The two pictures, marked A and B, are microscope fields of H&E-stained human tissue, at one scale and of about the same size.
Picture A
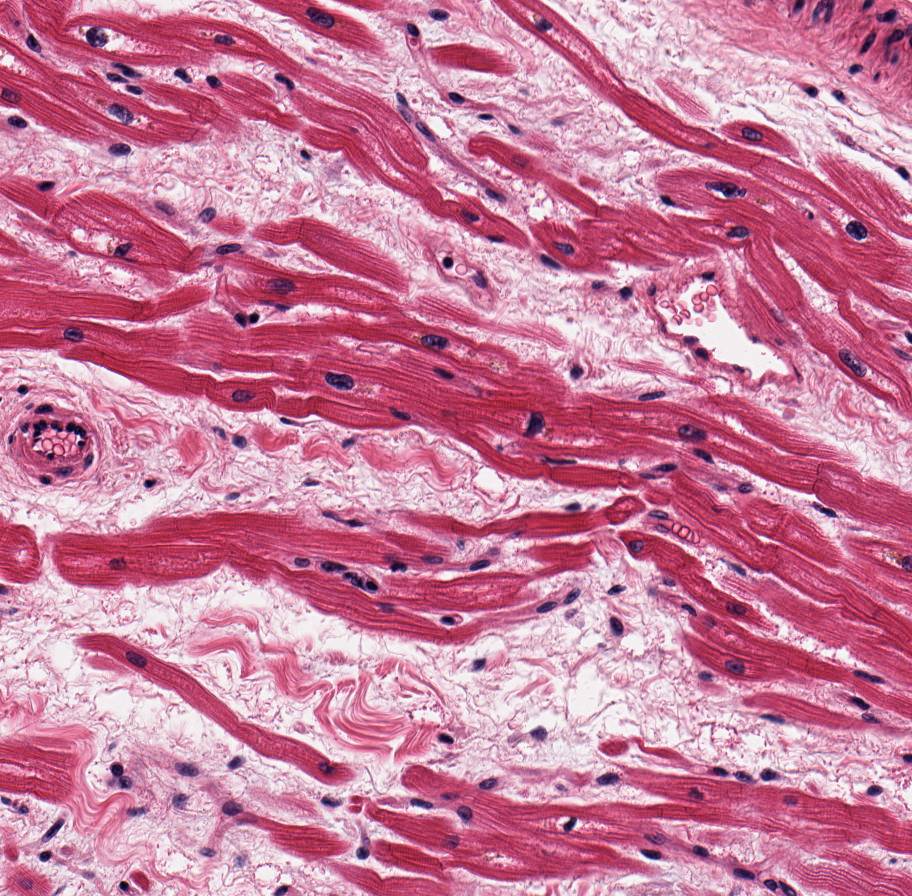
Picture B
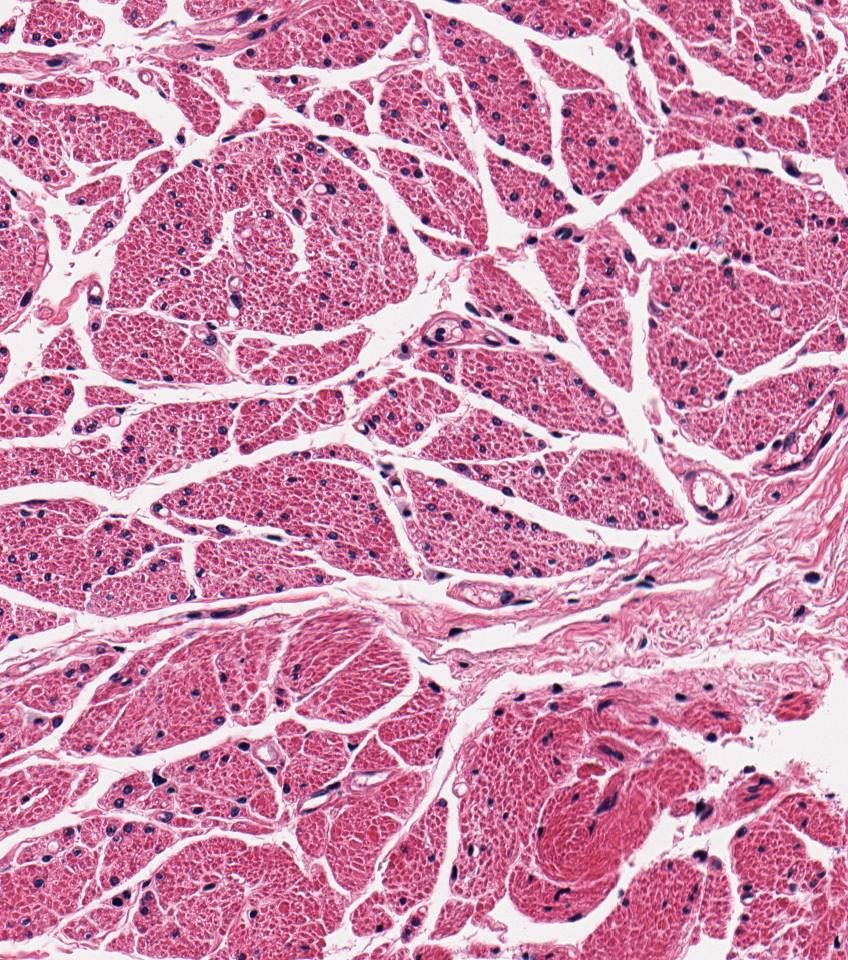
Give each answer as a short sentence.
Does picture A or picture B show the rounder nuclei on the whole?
On the whole the nuclei of picture B are rounder than those of picture A.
